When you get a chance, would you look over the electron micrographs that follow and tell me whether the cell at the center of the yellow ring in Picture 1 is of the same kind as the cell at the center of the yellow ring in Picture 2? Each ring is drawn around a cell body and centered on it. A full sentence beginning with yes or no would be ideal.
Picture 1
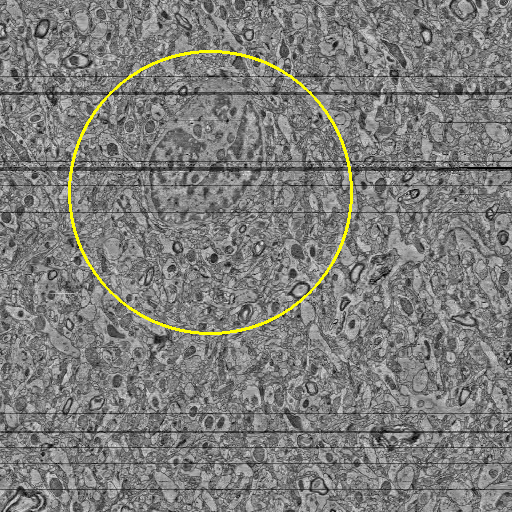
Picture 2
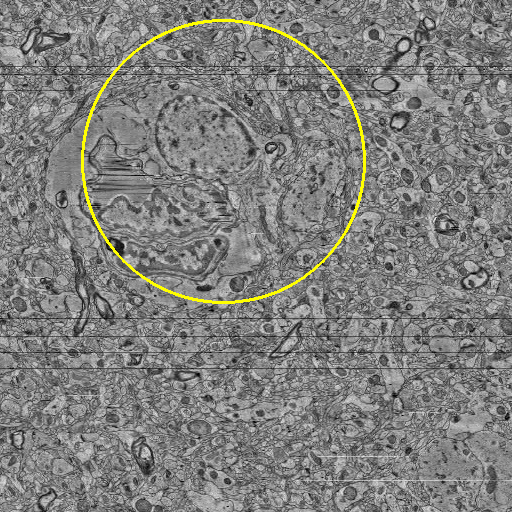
No, they are two kinds of cell.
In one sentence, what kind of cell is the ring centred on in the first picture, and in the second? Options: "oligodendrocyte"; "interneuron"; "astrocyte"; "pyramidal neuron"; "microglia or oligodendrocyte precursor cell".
The cell at the centre of the second ring is a microglial cell or oligodendrocyte precursor cell; the first ring's cell is an oligodendrocyte.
